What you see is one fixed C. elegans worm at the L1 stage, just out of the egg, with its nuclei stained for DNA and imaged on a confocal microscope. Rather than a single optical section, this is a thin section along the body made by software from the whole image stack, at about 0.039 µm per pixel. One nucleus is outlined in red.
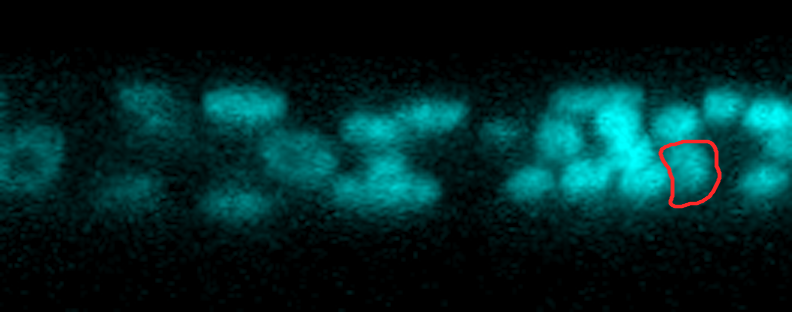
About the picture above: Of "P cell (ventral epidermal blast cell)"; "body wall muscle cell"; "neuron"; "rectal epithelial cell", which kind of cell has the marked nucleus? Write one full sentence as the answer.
The cell with the marked nucleus is a rectal epithelial cell.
